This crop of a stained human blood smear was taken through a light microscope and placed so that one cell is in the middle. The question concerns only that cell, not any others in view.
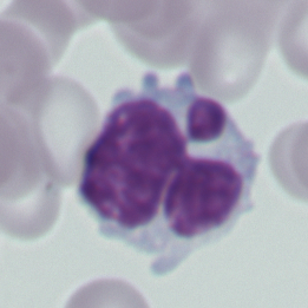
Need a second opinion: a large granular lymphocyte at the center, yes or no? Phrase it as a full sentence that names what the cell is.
Yes, the middle cell is classified as a large granular lymphocyte.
